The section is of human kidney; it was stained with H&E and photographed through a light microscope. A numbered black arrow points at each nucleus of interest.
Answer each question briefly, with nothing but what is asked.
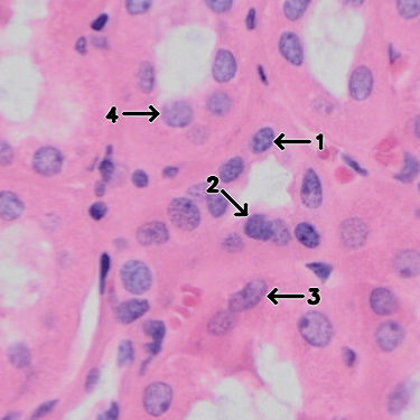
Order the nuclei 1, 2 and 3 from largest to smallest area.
3, 2, 1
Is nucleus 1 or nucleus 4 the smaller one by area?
1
